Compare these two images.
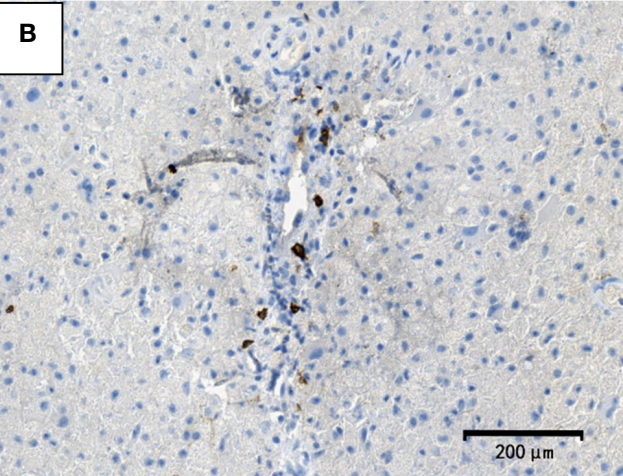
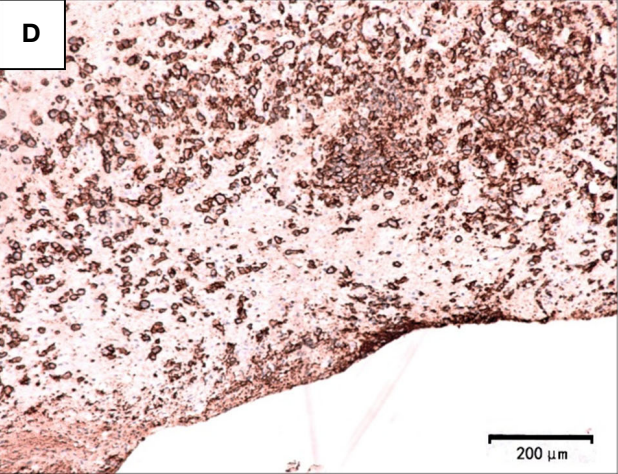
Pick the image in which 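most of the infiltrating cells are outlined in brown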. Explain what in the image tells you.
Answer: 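The second image. Second image: dense sheets of round cells with brown-stained membranes. First image: cells are mostly blue-counterstained, with only a few scattered brown cells.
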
